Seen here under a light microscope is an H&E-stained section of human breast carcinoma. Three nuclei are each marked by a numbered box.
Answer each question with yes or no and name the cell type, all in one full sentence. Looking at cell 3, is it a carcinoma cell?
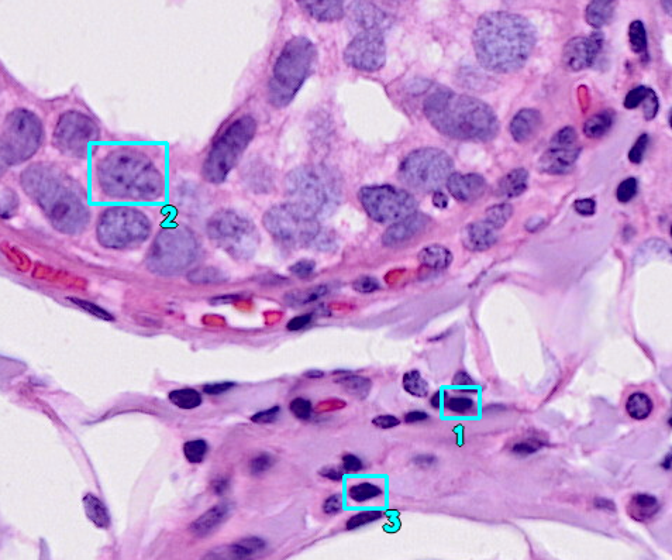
No, the cell at marker 3 is not a carcinoma cell; it is a lymphocyte.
